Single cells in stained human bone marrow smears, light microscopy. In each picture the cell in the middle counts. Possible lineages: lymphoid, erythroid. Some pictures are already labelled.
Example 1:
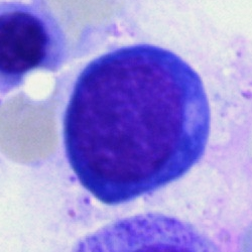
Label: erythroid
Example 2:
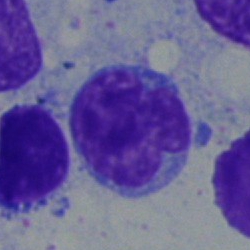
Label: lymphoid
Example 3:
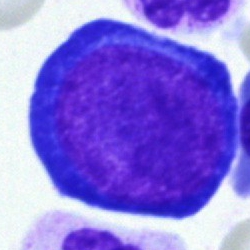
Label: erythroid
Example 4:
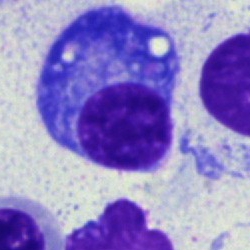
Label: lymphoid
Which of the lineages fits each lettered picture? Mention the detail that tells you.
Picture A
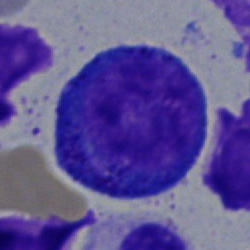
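erythroid. Evidence: The chromatin is finely textured and mottled rather than coarsely clumped.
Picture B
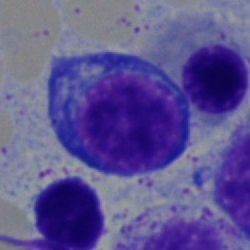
erythroid. Evidence: The chromatin is finely stippled rather than coarsely clumped.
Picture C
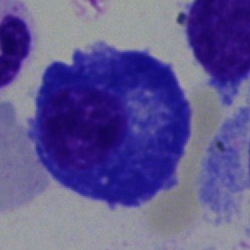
lymphoid. Evidence: The cytoplasm is abundant and stains a deep blue.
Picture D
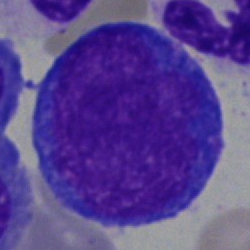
erythroid. Evidence: The chromatin looks finely stippled rather than coarsely clumped.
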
